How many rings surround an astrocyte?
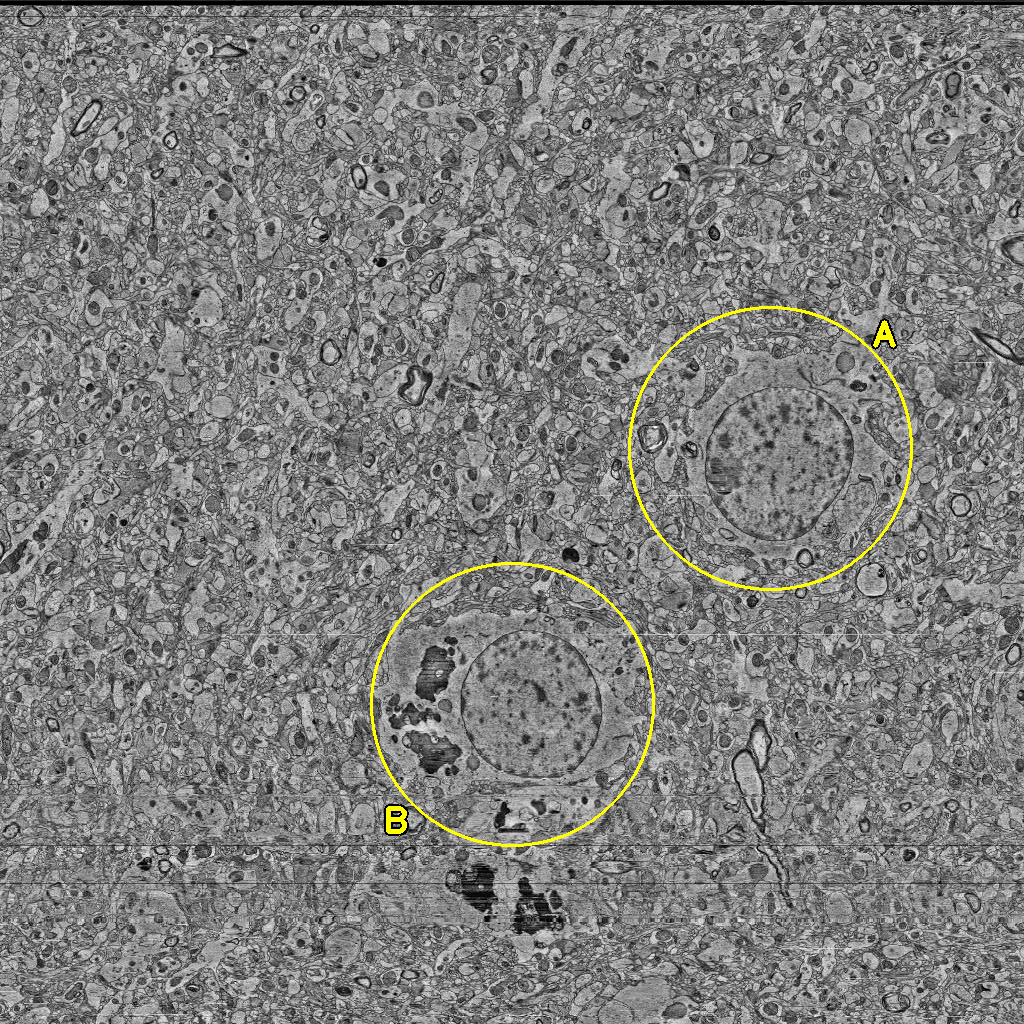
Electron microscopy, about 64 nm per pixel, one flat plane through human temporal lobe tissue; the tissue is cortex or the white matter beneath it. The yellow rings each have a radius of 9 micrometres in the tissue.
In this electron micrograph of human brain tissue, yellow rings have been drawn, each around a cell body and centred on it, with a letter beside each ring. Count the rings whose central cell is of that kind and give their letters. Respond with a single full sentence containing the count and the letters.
Those two rings lettered A and B are centred, each of them, on an astrocyte.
